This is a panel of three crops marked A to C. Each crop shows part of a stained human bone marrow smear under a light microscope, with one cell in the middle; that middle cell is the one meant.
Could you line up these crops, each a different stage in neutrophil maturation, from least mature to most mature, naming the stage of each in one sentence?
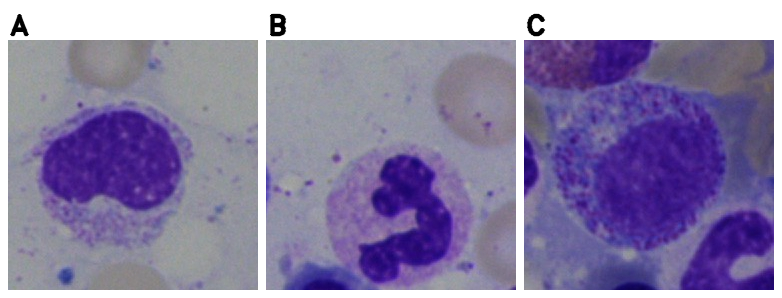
The order, going from least to most mature, is crop C (a myelocyte), crop A (a metamyelocyte) and crop B (a segmented neutrophil).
